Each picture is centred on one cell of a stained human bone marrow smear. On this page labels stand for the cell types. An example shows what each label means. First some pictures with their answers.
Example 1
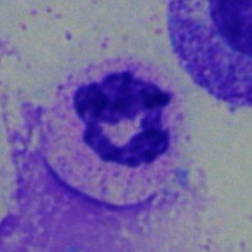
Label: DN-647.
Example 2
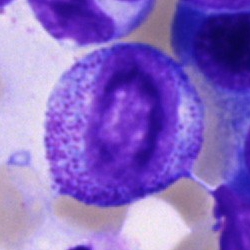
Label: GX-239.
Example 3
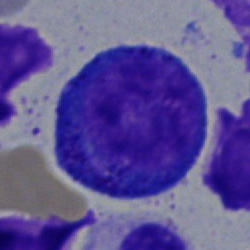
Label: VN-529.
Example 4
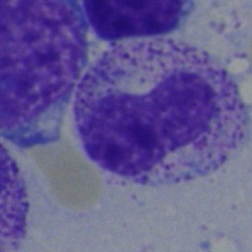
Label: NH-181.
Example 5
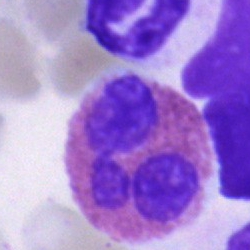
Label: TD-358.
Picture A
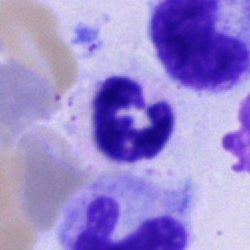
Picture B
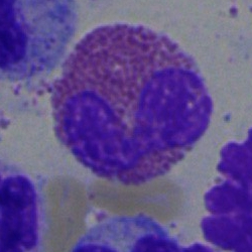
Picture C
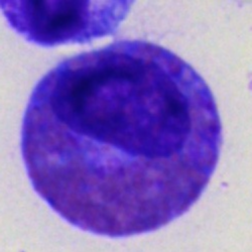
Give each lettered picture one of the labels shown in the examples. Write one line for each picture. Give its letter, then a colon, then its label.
A: DN-647.
B: TD-358.
C: TD-358.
